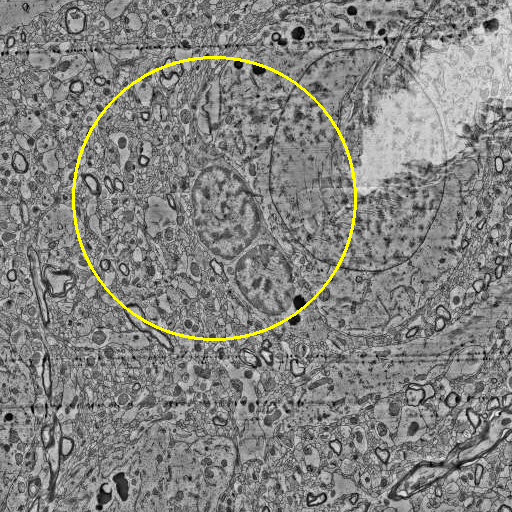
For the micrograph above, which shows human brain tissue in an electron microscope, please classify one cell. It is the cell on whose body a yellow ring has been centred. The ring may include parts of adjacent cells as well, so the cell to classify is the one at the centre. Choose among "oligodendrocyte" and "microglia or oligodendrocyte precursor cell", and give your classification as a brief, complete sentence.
I classify this cell as an oligodendrocyte.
